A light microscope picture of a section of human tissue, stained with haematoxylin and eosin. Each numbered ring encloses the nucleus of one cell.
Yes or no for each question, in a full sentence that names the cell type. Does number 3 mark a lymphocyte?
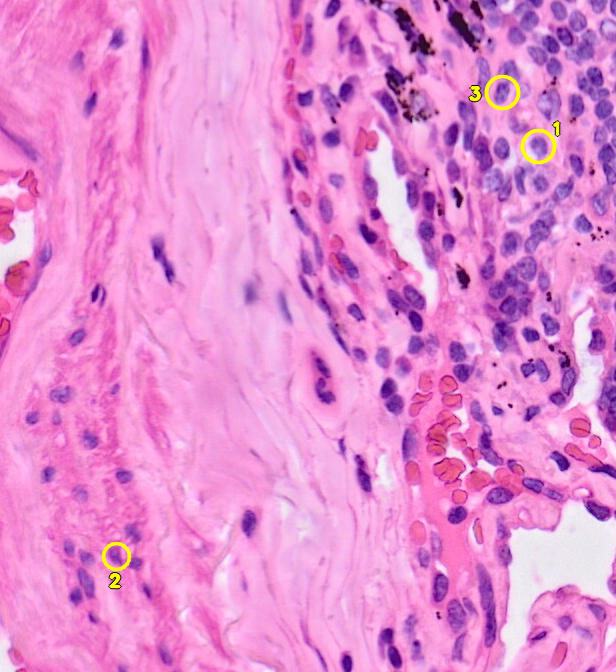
Yes, the cell tagged with the number 3 is a lymphocyte.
